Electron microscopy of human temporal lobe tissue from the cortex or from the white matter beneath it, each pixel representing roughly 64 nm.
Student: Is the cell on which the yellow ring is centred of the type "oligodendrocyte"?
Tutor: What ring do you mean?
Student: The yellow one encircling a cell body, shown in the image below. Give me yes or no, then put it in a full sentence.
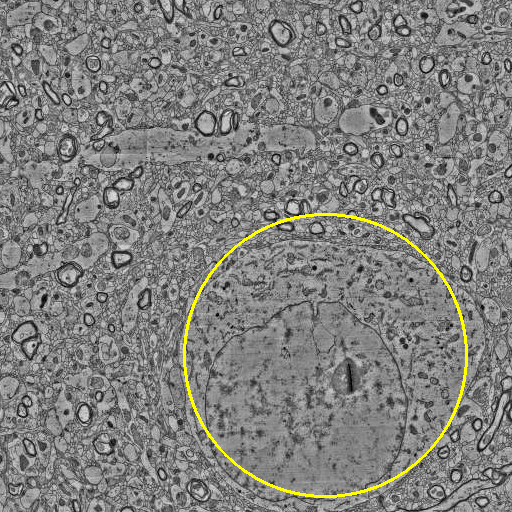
No, the cell on which the yellow ring in the image is centred has a different type.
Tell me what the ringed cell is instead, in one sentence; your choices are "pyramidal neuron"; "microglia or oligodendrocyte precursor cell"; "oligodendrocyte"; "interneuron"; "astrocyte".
Instead, the ring in this picture marks a pyramidal neuron.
